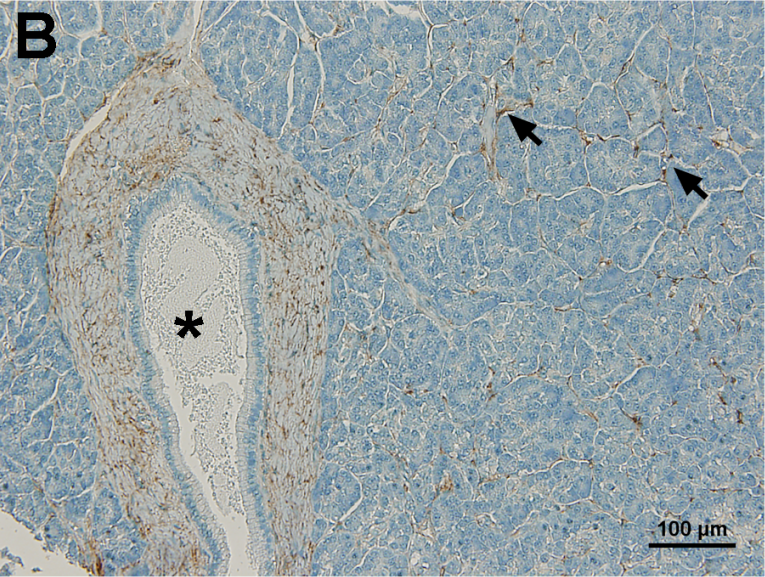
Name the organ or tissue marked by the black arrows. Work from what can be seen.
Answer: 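Connective tissues. The arrows point to thin strands between the glandular lobules. These strands carry small brown deposits.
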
